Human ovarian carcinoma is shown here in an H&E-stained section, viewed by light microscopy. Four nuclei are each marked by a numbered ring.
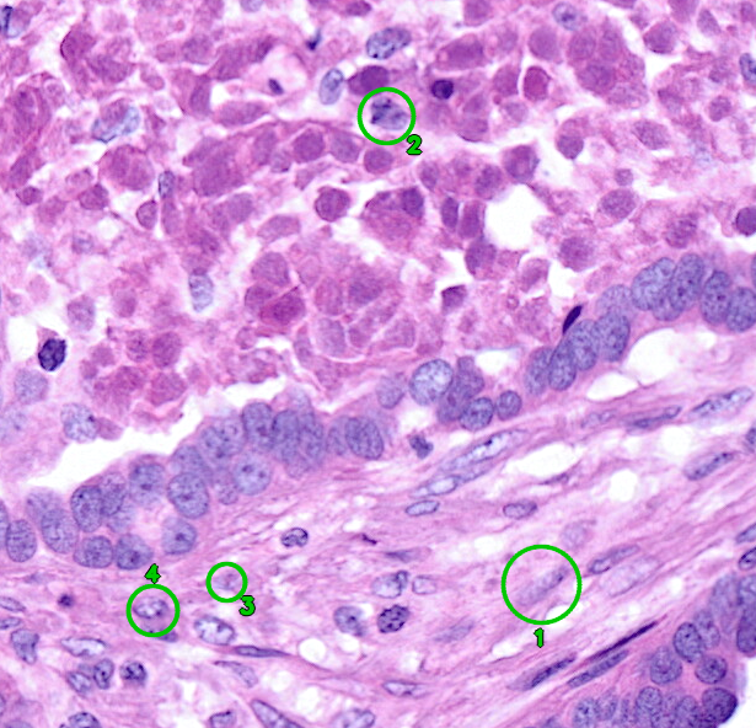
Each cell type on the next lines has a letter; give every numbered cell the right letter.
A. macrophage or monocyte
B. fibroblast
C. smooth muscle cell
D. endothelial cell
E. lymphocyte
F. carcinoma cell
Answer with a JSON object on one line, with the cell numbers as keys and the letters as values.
{"1": "B", "2": "A", "3": "B", "4": "B"}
